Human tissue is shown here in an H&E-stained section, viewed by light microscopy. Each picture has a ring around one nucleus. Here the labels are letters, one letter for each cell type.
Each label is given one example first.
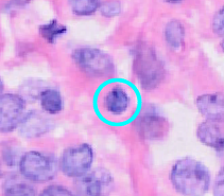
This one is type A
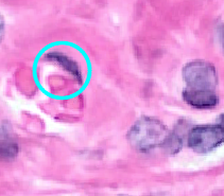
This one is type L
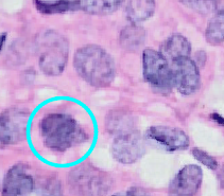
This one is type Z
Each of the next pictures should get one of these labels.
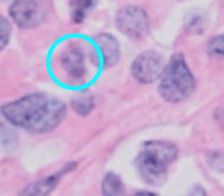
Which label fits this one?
type Z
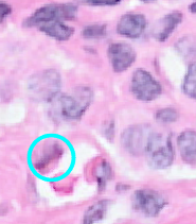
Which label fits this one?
type L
